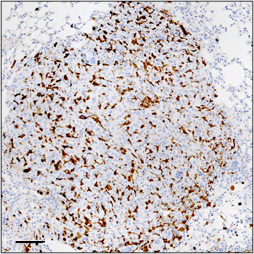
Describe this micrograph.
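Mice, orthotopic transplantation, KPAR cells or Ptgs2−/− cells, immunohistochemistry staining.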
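This is a compact tumour nodule of densely packed cells with blue-counterstained nuclei, bordered by thin-walled, open tissue. Scattered throughout the nodule are many brown-stained cells, often elongated or irregular in shape, lying between the tumour cells, so that the nodule looks heavily speckled with brown.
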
